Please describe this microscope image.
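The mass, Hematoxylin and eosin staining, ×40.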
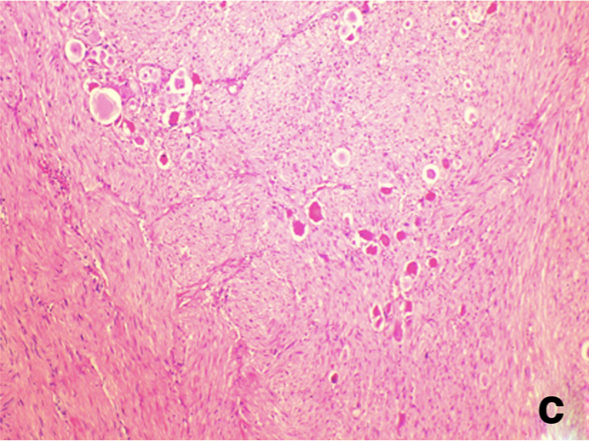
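This low-power view of a neoplasm shows fascicles of nerve bundles made of wavy, elongated spindle cells running across the field. In a paler, looser fibrillar zone near the top lie scattered huge ganglion cells, round cells with wide pink cytoplasm that dwarf the spindle cells around them. Some of these large cells stand within clear spaces, and they gather in small groups rather than lying evenly through the tissue.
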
